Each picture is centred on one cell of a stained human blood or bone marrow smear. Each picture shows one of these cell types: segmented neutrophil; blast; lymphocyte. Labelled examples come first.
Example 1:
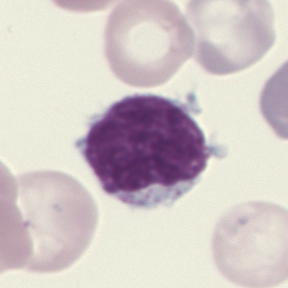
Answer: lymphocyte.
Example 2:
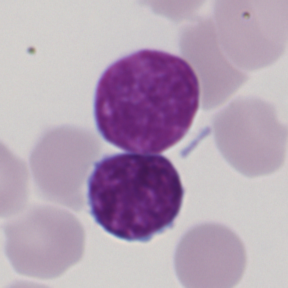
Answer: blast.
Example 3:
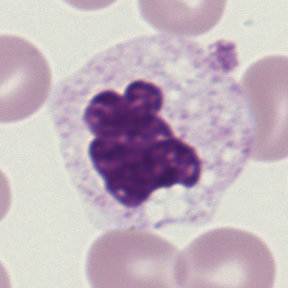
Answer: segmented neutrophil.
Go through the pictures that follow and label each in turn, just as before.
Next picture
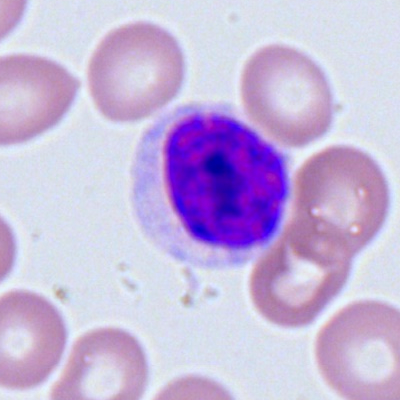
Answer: lymphocyte.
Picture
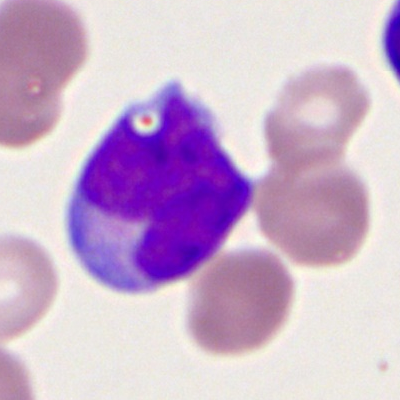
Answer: blast.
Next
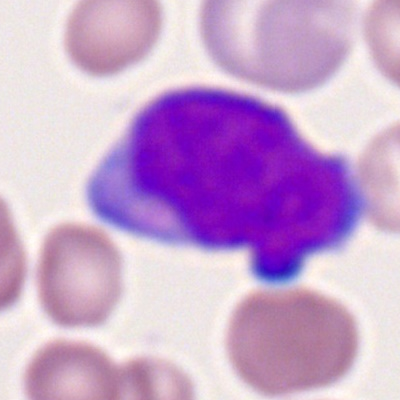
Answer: blast.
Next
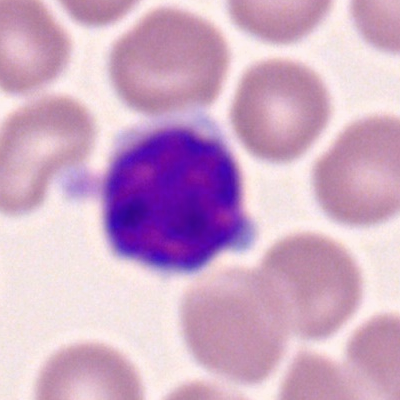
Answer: lymphocyte.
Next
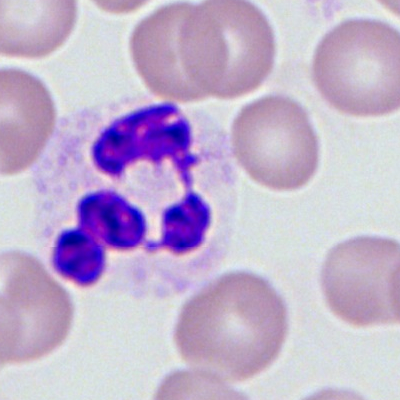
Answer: segmented neutrophil.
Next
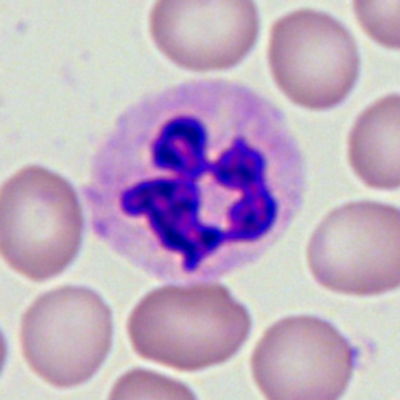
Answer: segmented neutrophil.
